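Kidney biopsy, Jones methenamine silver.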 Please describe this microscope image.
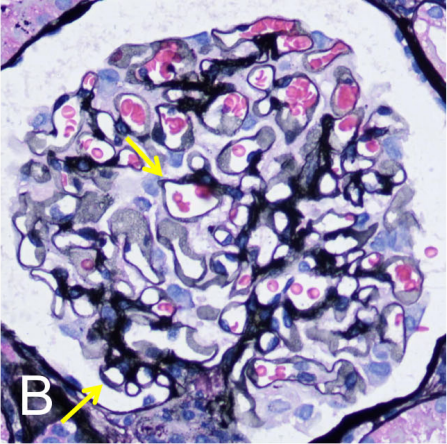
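A single glomerulus fills the field, its tuft divided into many capillary loops whose walls are outlined by black silver-stained basement membranes. The capillary lumens are open and contain red-stained red blood cells. Between the loops lie cells with blue-grey cytoplasm and nuclei, and the tuft is surrounded by a clear urinary space bounded by a black-outlined capsule. The loop walls appear slightly thickened in places.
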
